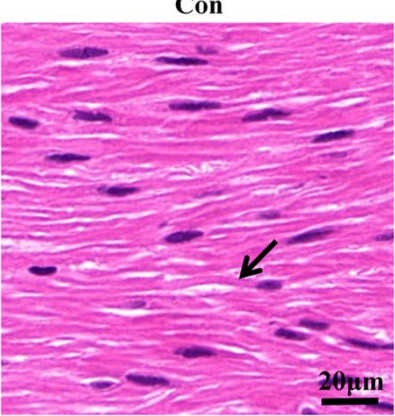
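The cells are long and spindle-shaped, lying parallel to one another in a gently wavy stream. Each carries a single elongated, cigar-shaped nucleus stained dark purple, sitting in the middle of the cell. The cytoplasm around it is pink and finely fibrillar. Between the cells run thin white clefts, so the fibres appear as separate ribbons packed closely side by side.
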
